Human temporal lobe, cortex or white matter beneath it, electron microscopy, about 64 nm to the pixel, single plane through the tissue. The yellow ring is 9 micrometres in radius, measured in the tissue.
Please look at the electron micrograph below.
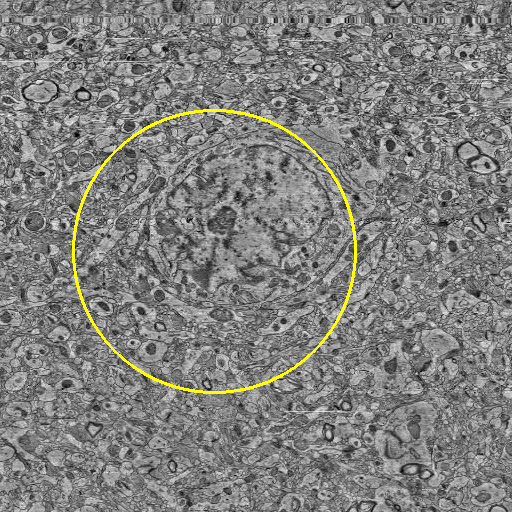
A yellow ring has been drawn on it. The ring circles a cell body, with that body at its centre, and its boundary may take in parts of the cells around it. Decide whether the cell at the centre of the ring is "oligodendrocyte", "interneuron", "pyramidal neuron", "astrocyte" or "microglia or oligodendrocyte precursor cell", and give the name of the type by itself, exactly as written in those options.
interneuron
